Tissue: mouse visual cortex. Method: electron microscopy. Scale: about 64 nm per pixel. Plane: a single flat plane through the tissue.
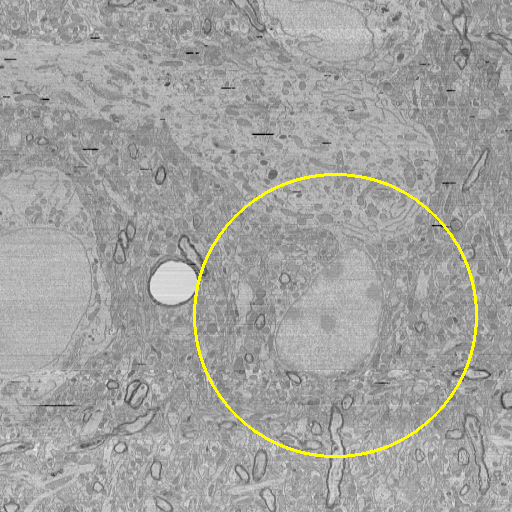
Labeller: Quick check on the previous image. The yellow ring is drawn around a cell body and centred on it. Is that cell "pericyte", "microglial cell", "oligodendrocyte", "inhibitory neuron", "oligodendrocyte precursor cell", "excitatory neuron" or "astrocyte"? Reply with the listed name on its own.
astrocyte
